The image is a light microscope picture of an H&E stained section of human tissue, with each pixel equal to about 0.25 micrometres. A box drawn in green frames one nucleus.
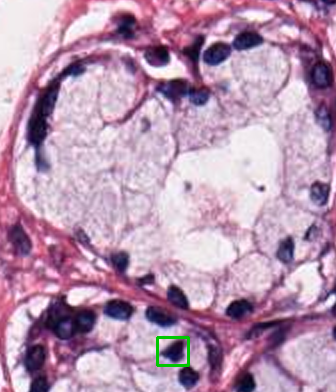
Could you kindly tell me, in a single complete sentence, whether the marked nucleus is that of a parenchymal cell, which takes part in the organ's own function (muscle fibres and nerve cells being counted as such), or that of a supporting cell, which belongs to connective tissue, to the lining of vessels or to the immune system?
In this field the marked nucleus is the nucleus of a mucous gland cell, a parenchymal cell.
